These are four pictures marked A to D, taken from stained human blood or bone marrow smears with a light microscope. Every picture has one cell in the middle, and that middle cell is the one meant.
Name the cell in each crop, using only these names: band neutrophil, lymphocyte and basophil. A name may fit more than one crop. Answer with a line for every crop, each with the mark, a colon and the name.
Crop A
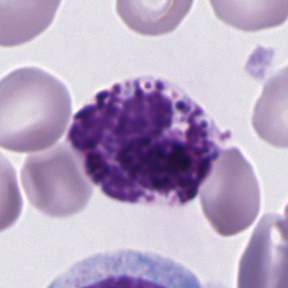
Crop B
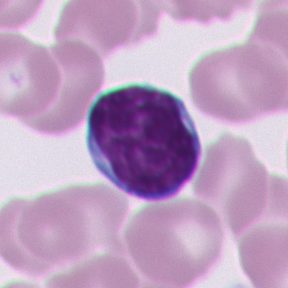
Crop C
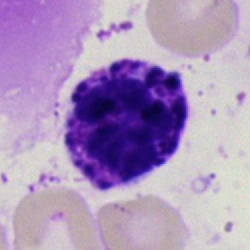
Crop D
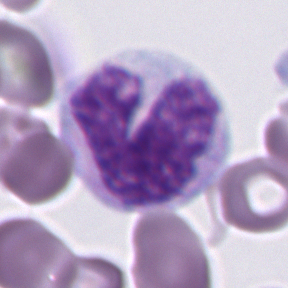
A: basophil
B: lymphocyte
C: basophil
D: band neutrophil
